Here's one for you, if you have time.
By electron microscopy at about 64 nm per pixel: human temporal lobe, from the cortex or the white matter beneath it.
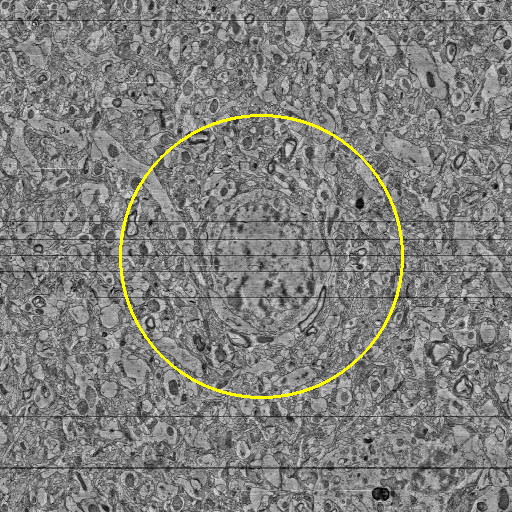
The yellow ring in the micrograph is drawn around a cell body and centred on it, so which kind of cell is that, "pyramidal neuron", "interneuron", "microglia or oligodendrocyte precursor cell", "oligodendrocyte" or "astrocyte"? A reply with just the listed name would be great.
interneuron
